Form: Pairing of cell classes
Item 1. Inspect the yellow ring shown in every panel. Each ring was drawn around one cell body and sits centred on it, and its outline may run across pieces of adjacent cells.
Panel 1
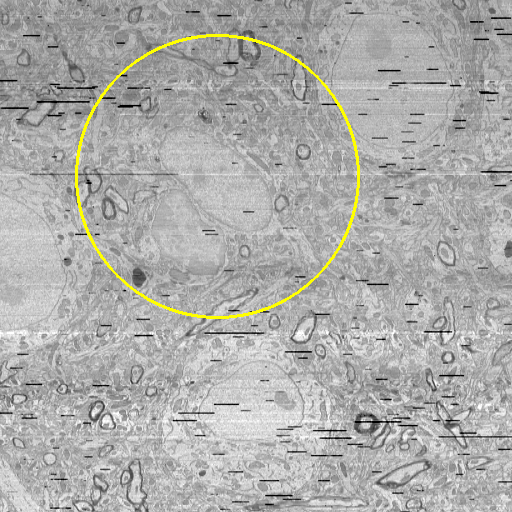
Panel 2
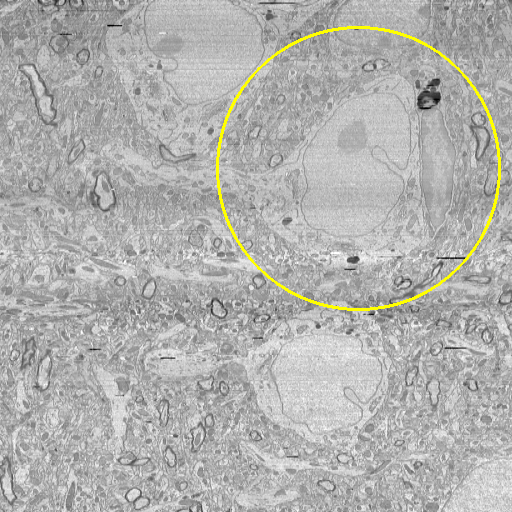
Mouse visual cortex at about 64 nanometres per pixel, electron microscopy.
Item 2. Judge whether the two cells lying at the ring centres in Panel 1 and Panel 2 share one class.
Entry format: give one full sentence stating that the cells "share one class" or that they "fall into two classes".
The cells at the ring centres in Panel 1 and Panel 2 fall into two classes.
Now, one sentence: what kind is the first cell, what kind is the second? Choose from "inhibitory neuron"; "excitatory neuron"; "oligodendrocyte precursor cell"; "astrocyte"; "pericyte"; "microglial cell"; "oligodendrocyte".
The first picture has an astrocyte at its ring centre, and the second has an excitatory neuron.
